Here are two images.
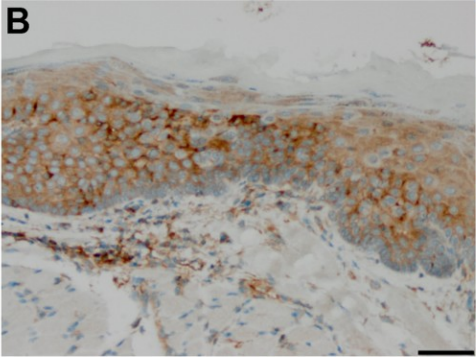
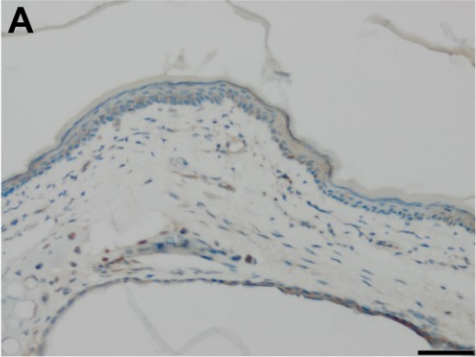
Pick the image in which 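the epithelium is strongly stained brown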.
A: The first image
